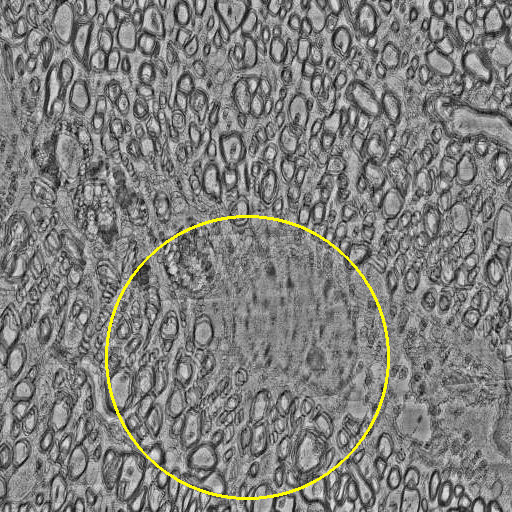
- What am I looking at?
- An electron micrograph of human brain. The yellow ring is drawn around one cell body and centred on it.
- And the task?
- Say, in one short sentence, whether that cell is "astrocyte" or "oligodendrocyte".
The cell in the middle of the ring is an astrocyte.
